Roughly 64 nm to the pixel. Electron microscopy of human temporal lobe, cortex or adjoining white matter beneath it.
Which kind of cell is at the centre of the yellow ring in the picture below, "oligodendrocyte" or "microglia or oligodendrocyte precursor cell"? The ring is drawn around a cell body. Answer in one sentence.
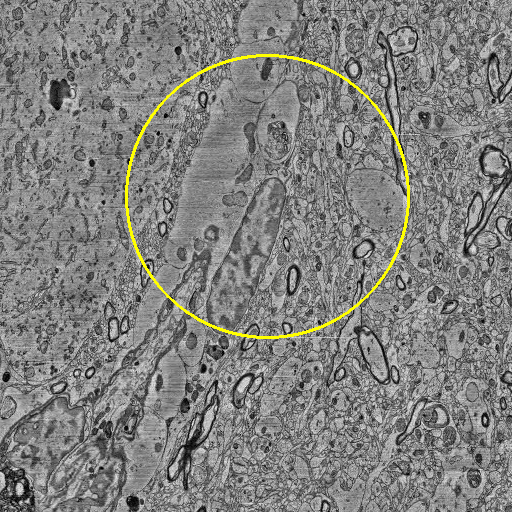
The ring's central cell is a microglial cell or oligodendrocyte precursor cell.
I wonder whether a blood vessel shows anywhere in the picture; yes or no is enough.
Yes.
